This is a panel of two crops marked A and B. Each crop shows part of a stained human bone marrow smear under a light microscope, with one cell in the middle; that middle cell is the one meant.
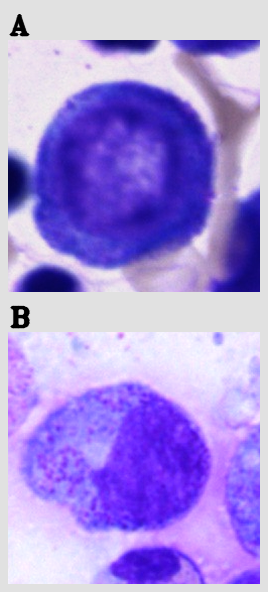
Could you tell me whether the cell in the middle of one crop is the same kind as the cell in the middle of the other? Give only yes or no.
yes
